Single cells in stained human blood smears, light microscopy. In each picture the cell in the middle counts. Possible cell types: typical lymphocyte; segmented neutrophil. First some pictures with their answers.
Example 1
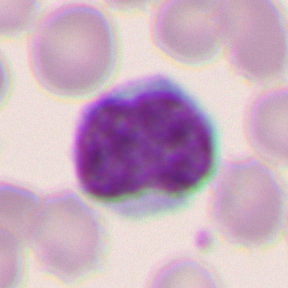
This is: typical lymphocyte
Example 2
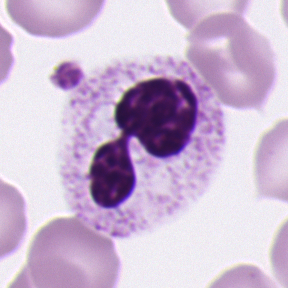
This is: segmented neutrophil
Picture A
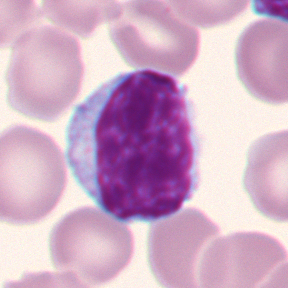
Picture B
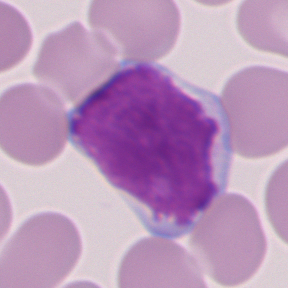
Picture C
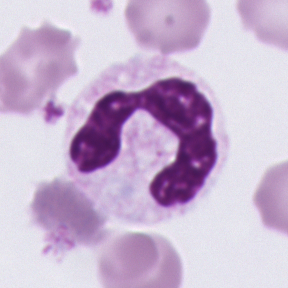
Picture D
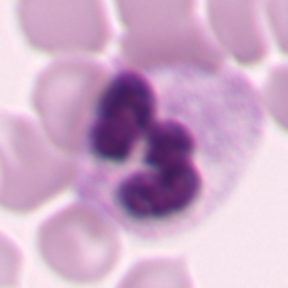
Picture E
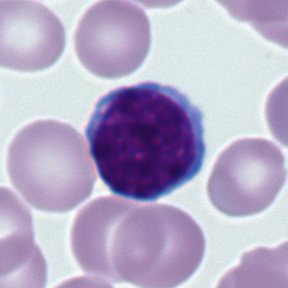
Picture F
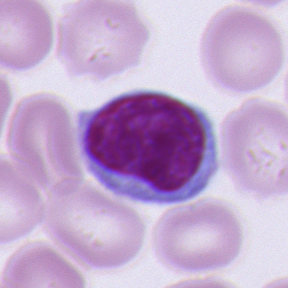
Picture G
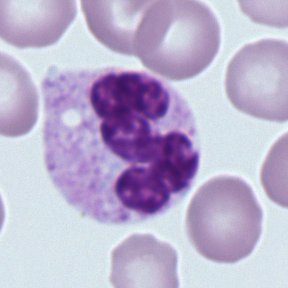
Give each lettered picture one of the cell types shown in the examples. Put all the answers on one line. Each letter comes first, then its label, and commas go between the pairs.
A typical lymphocyte, B typical lymphocyte, C segmented neutrophil, D segmented neutrophil, E typical lymphocyte, F typical lymphocyte, G segmented neutrophil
